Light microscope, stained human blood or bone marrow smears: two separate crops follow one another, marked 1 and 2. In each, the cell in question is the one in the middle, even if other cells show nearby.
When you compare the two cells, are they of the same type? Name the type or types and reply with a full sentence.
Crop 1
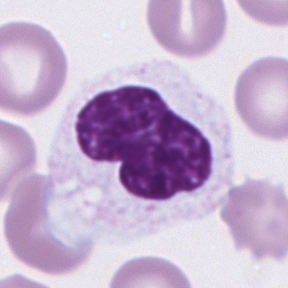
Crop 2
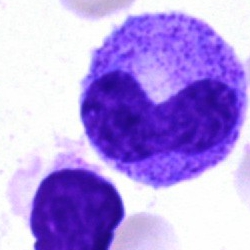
Yes, both crops show band neutrophils as the central cells.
